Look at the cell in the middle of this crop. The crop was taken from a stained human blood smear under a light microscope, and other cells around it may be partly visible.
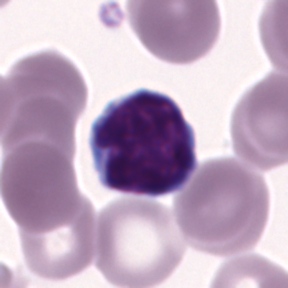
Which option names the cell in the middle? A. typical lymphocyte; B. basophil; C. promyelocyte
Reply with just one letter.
A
